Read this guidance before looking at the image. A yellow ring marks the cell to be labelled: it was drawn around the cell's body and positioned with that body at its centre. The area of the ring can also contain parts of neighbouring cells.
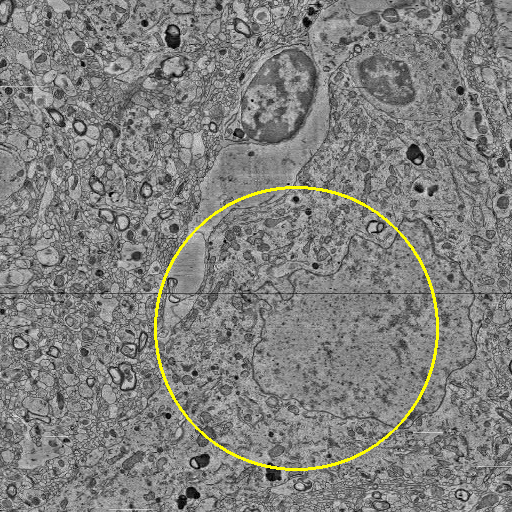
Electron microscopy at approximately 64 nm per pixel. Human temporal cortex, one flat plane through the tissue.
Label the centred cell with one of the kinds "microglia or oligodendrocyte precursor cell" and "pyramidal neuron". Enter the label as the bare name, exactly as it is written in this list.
pyramidal neuron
